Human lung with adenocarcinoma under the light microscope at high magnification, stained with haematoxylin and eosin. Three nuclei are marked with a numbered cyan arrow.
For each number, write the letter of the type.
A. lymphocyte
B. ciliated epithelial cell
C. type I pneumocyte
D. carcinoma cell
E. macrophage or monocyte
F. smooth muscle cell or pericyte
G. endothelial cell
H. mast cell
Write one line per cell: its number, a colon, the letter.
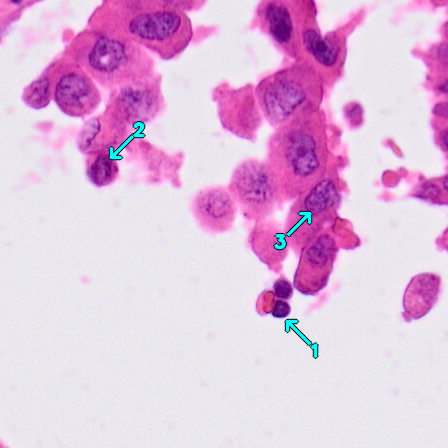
1: A
2: E
3: D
